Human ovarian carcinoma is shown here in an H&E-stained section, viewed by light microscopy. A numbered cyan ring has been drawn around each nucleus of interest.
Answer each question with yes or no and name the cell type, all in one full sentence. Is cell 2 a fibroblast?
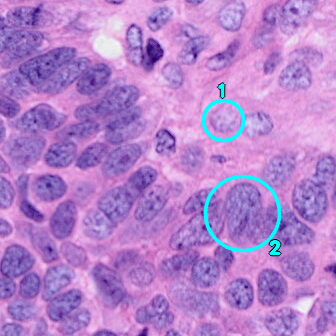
No, the cell given the number 2 is a carcinoma cell, so not a fibroblast.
